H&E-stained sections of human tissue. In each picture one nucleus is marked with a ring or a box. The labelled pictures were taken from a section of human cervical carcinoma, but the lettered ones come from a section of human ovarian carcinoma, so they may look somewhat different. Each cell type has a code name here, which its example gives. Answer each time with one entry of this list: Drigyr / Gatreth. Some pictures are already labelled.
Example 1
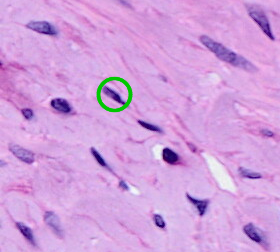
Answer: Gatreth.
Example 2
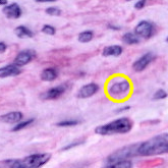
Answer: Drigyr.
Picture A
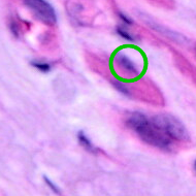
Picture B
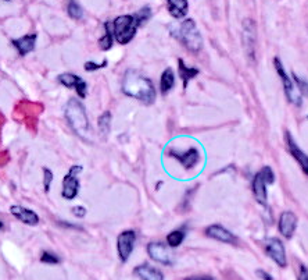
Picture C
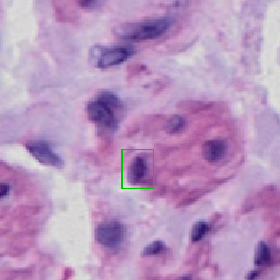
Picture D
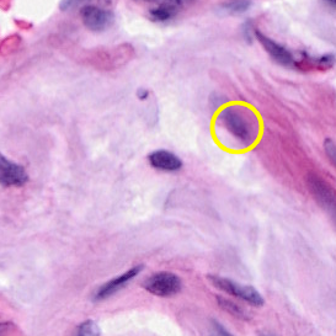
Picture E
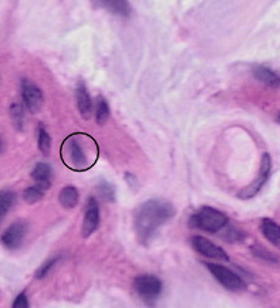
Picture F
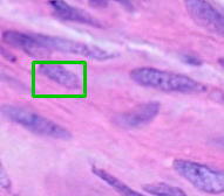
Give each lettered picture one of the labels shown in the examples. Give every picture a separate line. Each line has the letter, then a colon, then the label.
A: Drigyr.
B: Gatreth.
C: Drigyr.
D: Drigyr.
E: Drigyr.
F: Drigyr.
